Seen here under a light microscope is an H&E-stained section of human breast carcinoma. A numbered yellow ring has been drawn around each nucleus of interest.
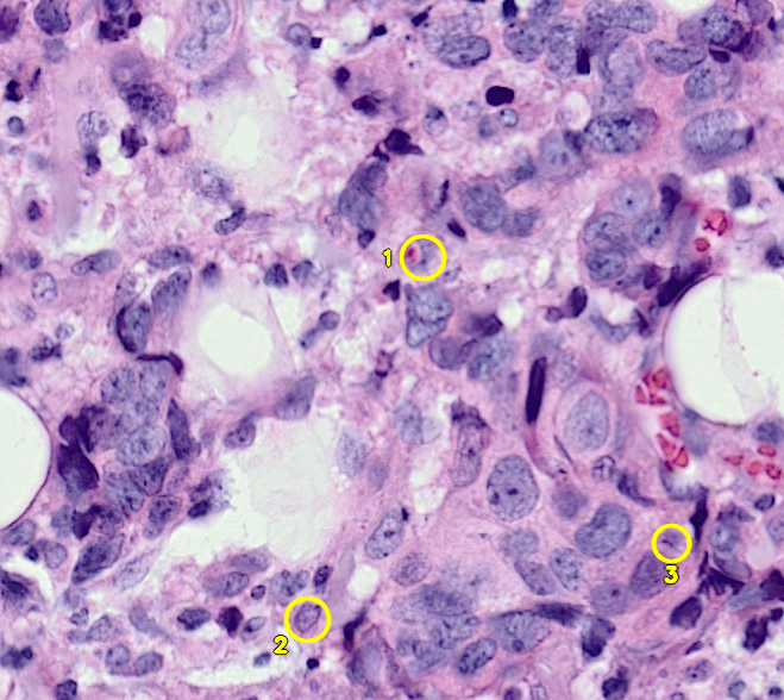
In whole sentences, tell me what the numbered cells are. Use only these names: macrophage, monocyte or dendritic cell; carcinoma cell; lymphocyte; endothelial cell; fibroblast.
Cell 1 is an endothelial cell, cell 2 is a macrophage, monocyte or dendritic cell and cell 3 is a carcinoma cell.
